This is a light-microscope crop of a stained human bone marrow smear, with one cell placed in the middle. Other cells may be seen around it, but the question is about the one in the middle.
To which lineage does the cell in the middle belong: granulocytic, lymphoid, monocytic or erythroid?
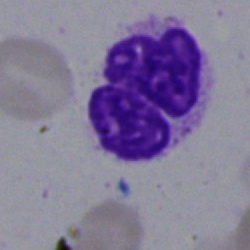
granulocytic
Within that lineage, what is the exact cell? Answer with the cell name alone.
segmented neutrophil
